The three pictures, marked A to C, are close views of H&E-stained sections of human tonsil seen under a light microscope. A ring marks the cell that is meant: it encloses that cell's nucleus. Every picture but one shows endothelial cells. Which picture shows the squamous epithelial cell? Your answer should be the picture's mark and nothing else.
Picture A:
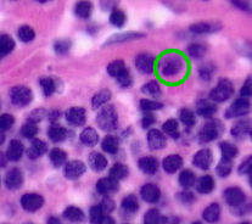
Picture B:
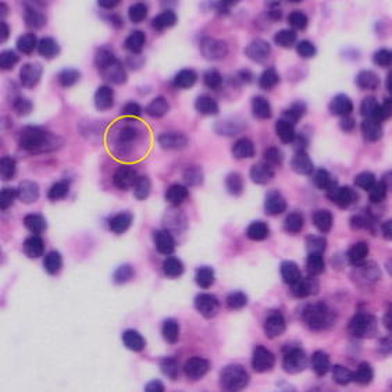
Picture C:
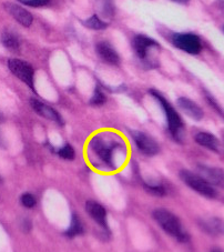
C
